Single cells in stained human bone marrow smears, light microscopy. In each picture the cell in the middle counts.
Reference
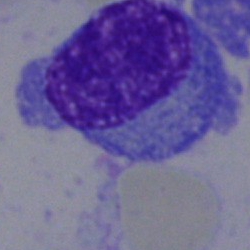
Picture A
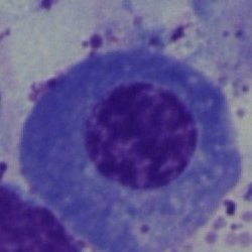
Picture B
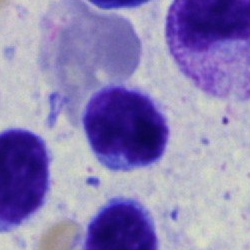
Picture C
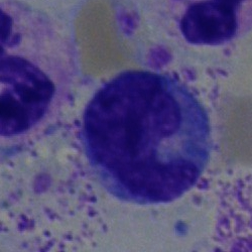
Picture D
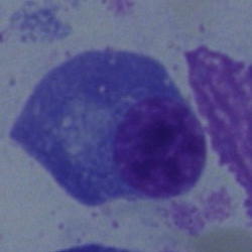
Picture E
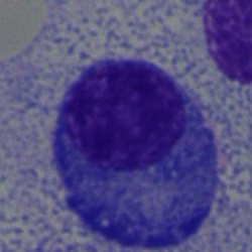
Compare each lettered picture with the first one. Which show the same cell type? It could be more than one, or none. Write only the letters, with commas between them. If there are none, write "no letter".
A, D, E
